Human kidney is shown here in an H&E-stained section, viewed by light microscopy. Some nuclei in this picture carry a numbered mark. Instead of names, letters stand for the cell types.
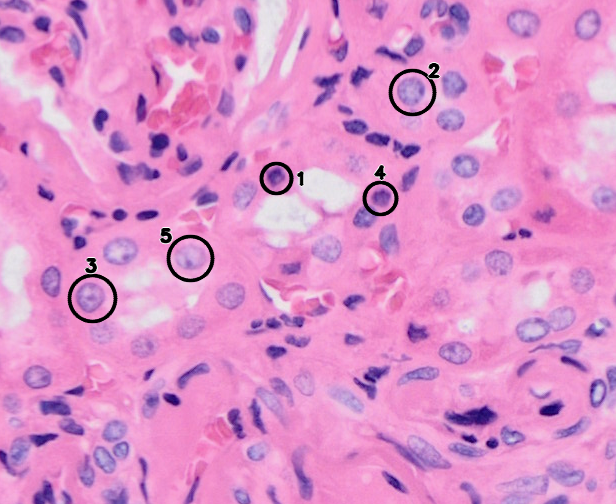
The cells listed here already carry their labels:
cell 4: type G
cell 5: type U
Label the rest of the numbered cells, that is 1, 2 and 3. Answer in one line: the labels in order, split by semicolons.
type G; type G; type U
